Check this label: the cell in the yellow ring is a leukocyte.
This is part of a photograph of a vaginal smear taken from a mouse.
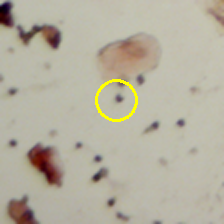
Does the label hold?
The label holds; the cell is a leukocyte.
